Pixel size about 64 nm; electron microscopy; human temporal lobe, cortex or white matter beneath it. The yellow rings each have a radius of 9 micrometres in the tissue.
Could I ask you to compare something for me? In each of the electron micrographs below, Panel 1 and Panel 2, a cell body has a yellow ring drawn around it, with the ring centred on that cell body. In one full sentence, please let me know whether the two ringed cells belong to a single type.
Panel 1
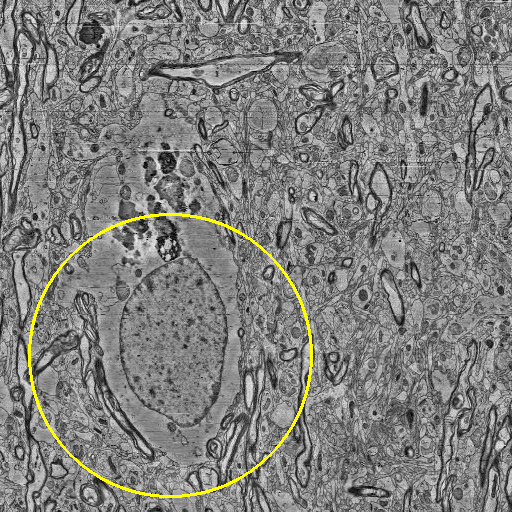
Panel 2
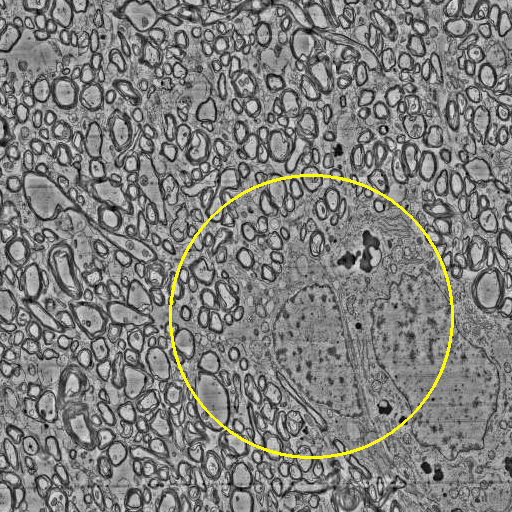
Yes, the two cells at the centres of the rings are of one type.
